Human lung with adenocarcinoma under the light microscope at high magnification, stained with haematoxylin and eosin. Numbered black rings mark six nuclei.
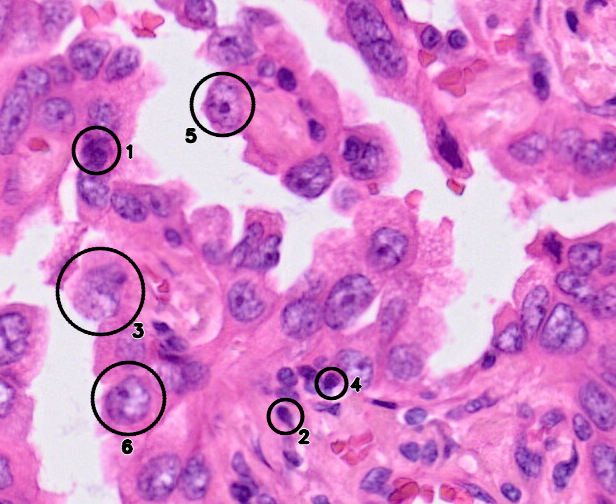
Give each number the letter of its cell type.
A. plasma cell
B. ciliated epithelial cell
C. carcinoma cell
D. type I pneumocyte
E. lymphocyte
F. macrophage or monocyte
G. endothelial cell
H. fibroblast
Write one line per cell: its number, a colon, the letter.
1: C
2: E
3: C
4: E
5: C
6: C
